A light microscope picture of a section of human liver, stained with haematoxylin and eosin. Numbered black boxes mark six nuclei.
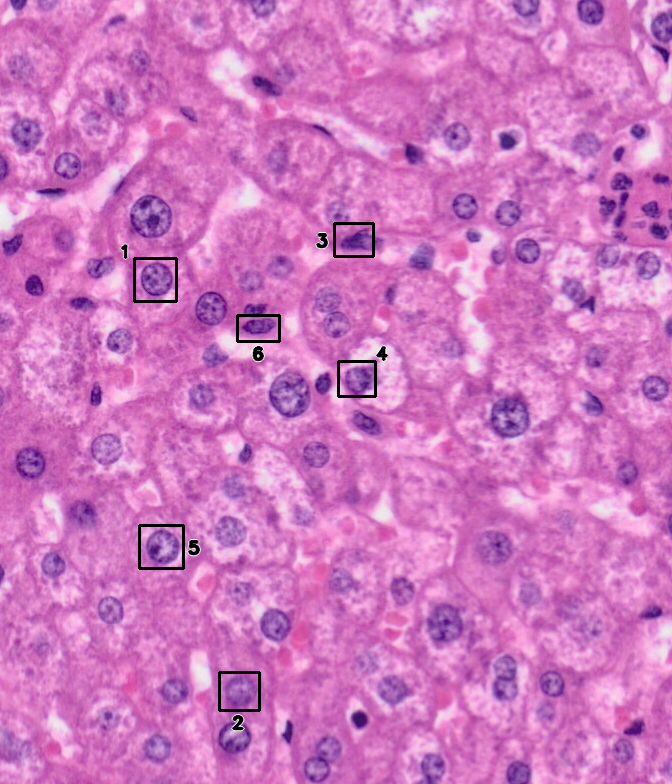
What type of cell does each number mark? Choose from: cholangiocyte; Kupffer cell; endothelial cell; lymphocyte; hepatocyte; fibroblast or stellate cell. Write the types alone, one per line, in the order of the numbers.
hepatocyte
hepatocyte
fibroblast or stellate cell
hepatocyte
hepatocyte
Kupffer cell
